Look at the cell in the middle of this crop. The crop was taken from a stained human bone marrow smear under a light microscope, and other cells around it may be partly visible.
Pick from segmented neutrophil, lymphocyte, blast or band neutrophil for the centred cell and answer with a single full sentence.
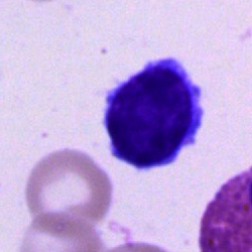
Occupying the centre of the crop is a lymphocyte.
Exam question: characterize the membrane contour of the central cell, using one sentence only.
Its outline is ragged or drawn out into projections, not smooth.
